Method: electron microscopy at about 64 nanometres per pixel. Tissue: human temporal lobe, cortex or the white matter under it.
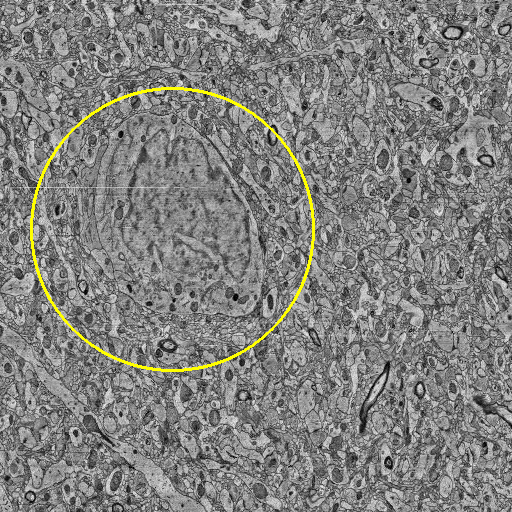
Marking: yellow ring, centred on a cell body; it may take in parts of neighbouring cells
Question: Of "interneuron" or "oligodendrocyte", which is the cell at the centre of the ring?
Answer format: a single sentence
The ring surrounds the body of an interneuron.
